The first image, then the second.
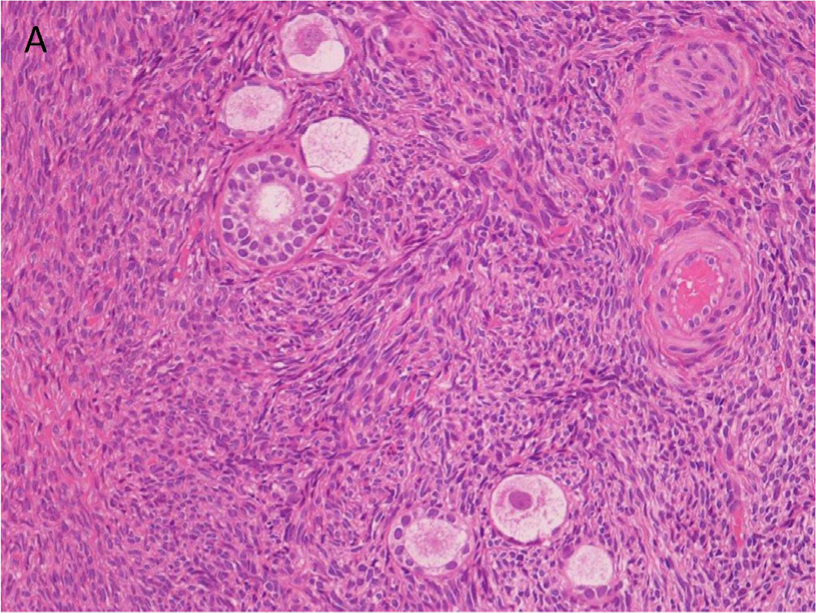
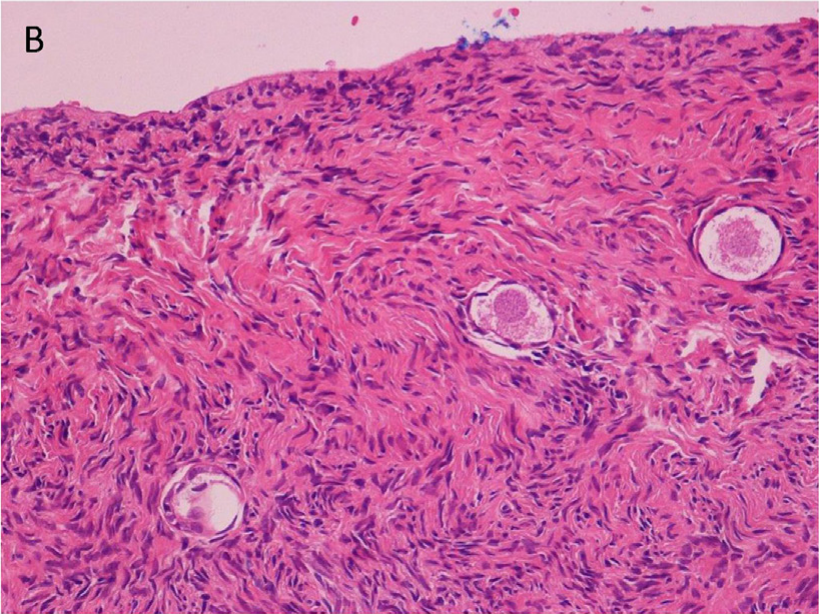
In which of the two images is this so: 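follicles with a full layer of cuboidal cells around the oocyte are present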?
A: The first image.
